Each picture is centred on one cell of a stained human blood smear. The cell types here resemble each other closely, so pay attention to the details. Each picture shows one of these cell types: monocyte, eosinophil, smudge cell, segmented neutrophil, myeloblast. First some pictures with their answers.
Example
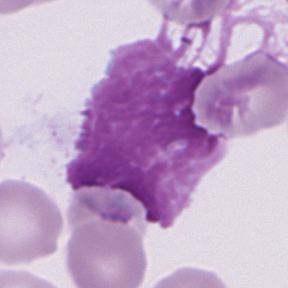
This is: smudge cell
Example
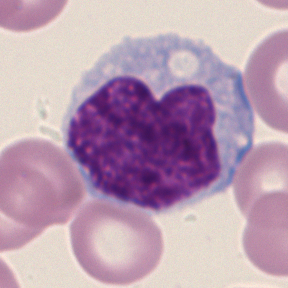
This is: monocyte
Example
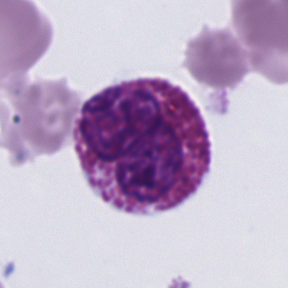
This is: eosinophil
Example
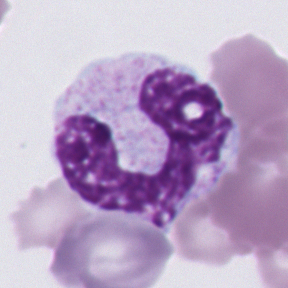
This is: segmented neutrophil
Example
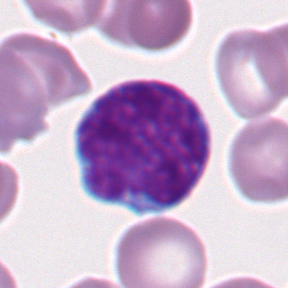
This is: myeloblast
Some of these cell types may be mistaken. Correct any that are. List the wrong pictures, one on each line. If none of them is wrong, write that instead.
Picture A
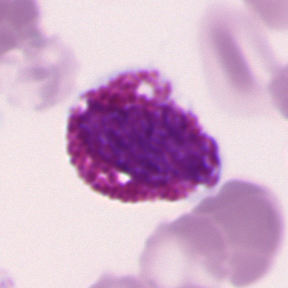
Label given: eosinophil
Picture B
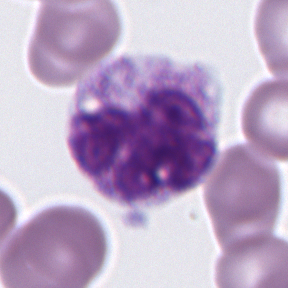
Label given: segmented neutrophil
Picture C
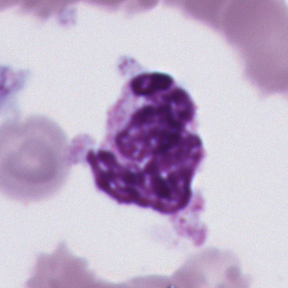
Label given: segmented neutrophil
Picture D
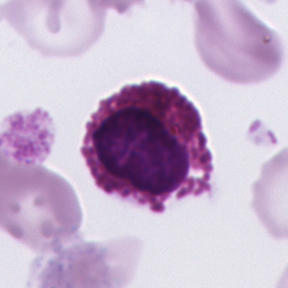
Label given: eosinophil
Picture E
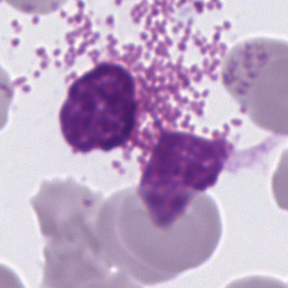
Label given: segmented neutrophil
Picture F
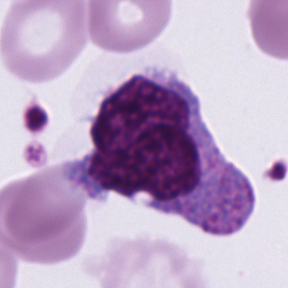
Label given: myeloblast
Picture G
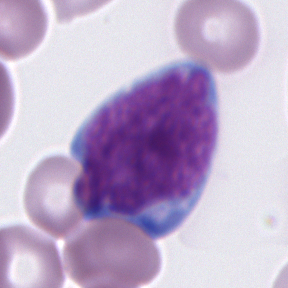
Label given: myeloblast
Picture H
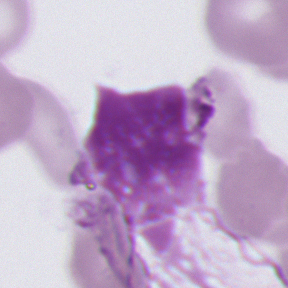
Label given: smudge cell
E: eosinophil, not segmented neutrophil
F: monocyte, not myeloblast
